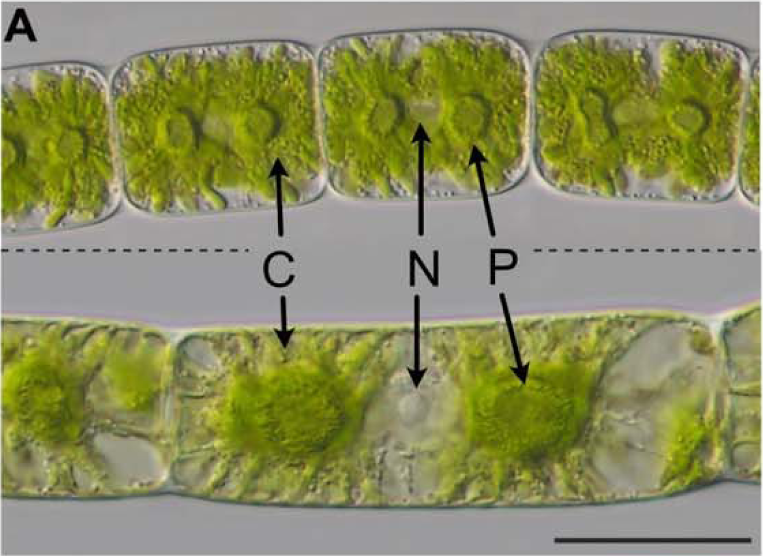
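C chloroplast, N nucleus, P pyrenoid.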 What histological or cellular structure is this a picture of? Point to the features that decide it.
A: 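Vegetative filament. Cells are joined end to end in an unbranched row. Each cell is bounded by a clear wall shared with its neighbours. Each cell holds green chloroplasts.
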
